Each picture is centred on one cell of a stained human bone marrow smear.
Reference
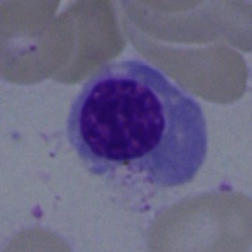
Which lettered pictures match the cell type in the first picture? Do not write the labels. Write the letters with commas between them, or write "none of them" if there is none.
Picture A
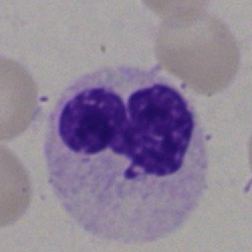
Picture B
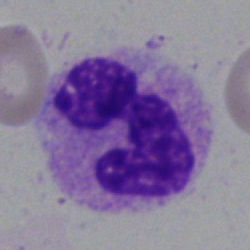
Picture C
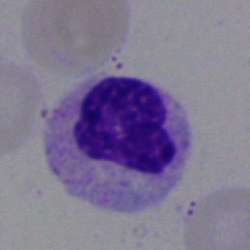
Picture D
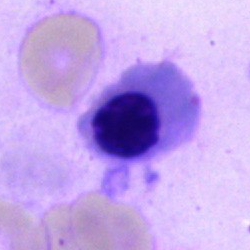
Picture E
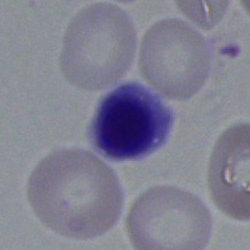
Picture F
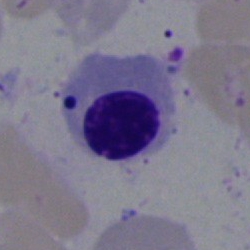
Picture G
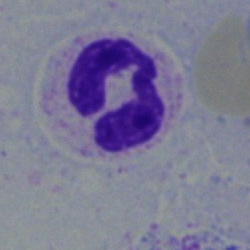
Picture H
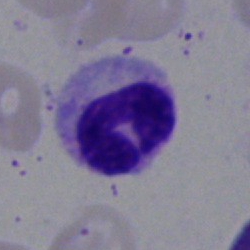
D, E, F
